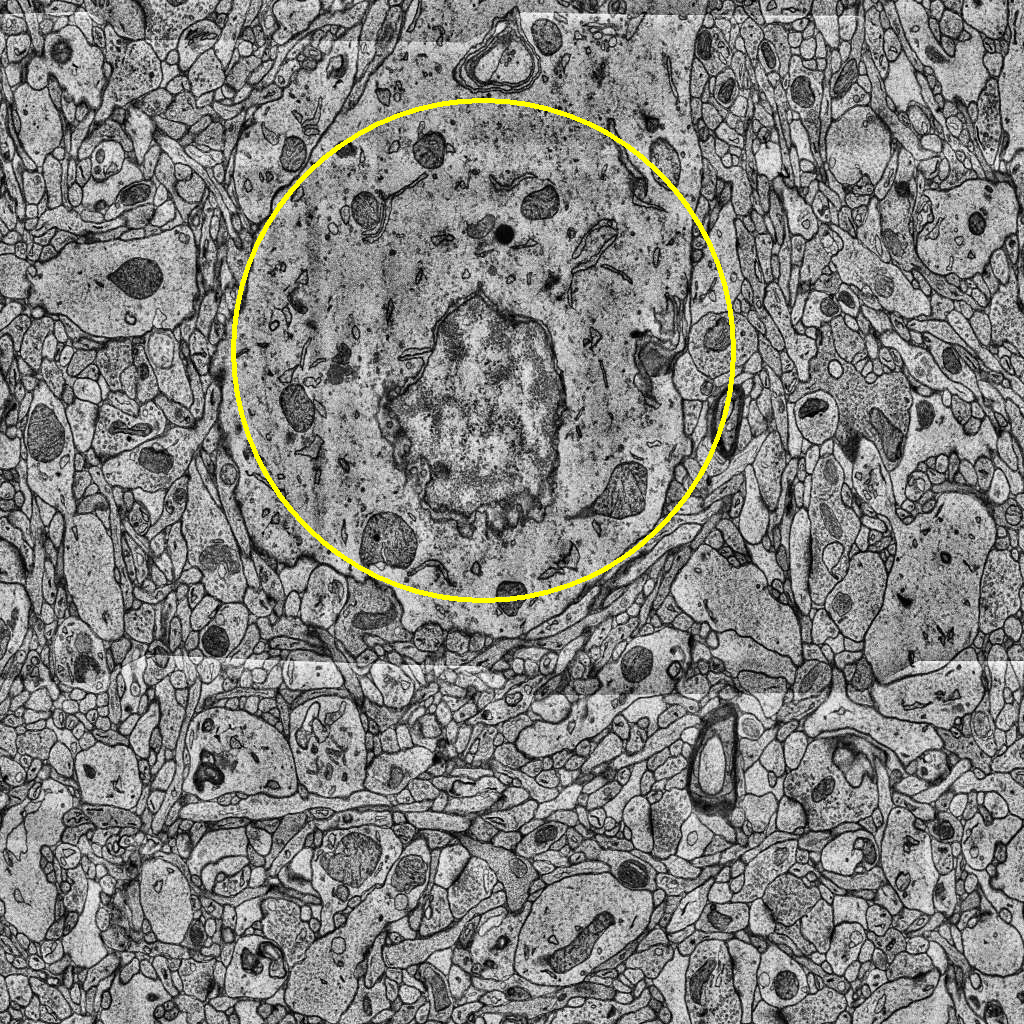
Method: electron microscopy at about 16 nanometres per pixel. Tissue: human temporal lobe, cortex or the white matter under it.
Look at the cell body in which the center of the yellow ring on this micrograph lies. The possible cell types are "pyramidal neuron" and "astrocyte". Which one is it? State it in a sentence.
The cell at the middle of the ring is a pyramidal neuron.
